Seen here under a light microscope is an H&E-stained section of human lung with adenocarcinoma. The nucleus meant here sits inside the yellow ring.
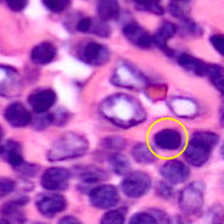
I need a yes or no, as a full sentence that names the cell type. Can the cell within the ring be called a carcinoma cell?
No, the cell within the ring is best named a lymphocyte, not a carcinoma cell.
